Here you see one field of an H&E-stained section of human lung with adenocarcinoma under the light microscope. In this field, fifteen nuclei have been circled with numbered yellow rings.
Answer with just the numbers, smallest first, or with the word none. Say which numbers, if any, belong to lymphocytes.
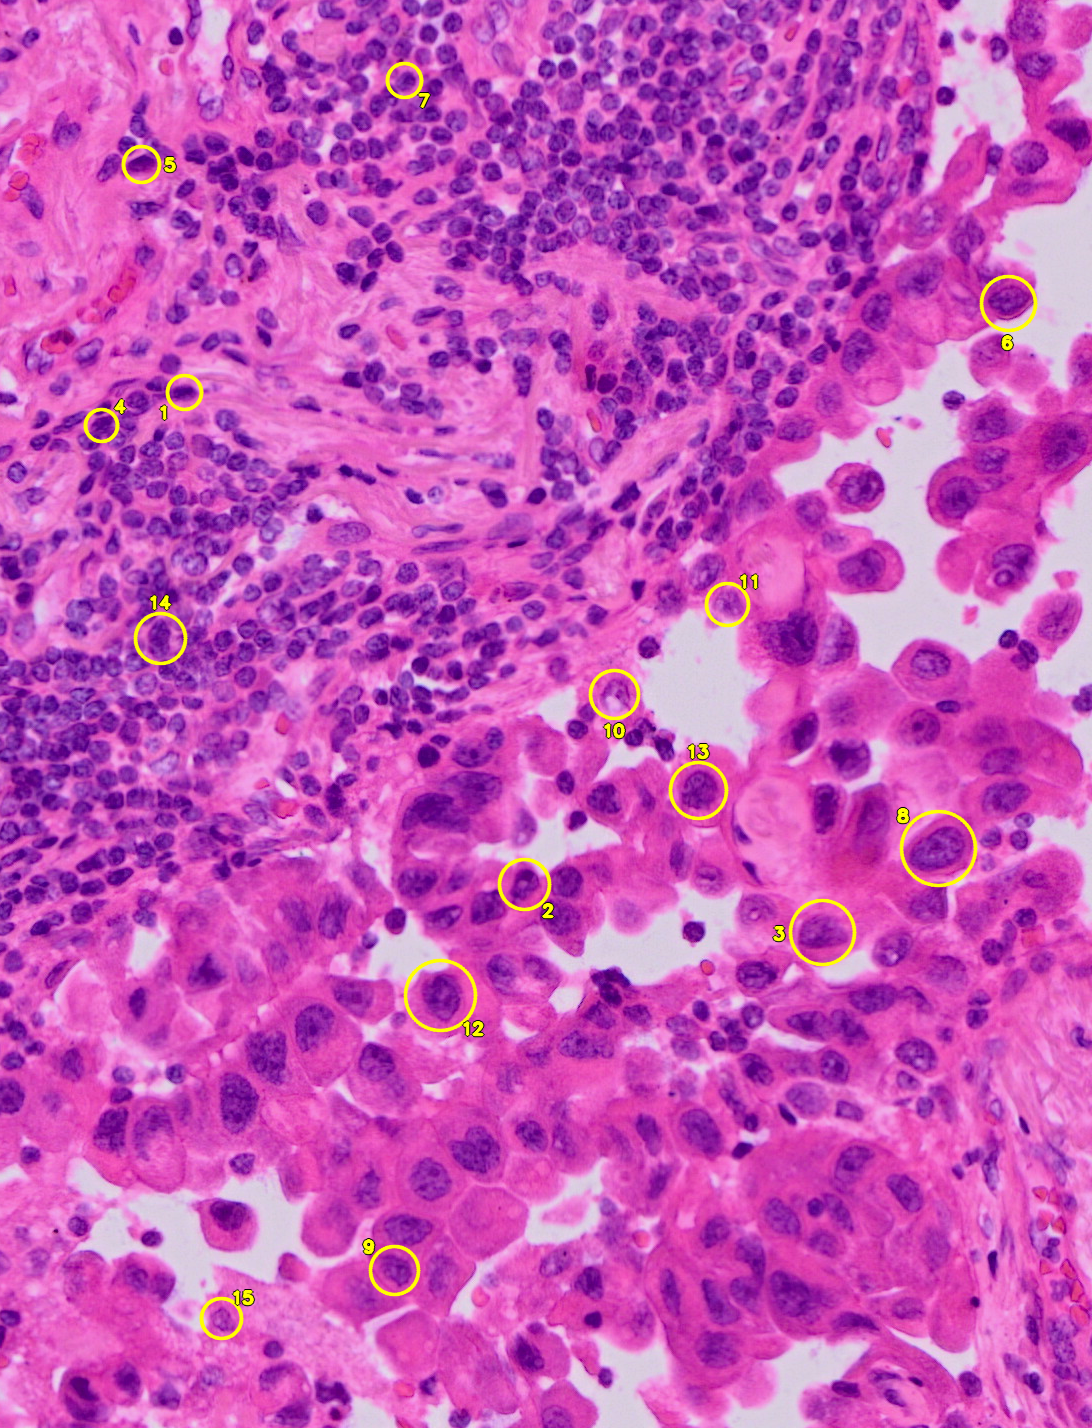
1, 4, 7, 14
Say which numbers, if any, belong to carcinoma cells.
2, 3, 6, 8, 9, 11, 12, 13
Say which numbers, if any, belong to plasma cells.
5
